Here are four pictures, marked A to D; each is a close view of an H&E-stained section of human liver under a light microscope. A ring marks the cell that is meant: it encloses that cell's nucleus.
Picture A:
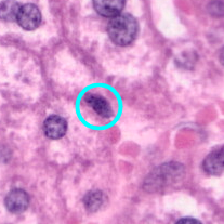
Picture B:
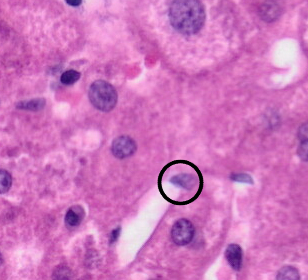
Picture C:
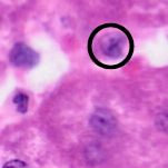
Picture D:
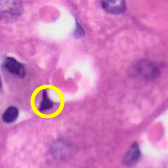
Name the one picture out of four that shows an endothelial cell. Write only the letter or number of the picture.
B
